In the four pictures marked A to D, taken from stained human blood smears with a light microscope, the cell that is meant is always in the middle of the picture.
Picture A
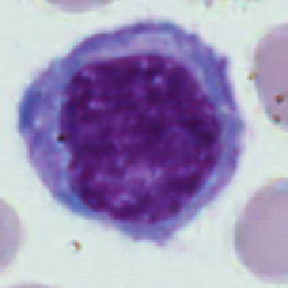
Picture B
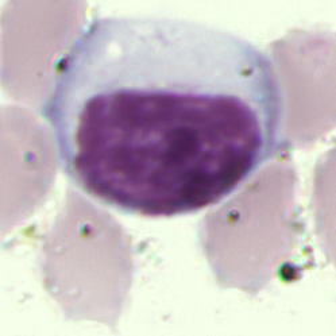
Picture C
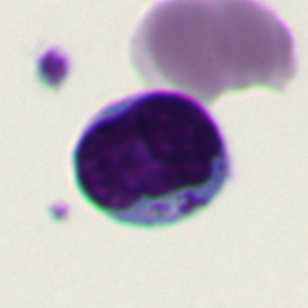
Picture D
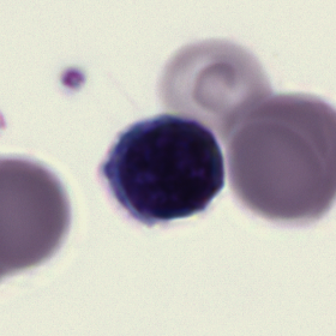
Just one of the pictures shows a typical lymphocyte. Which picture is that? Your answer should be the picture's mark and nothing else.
C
